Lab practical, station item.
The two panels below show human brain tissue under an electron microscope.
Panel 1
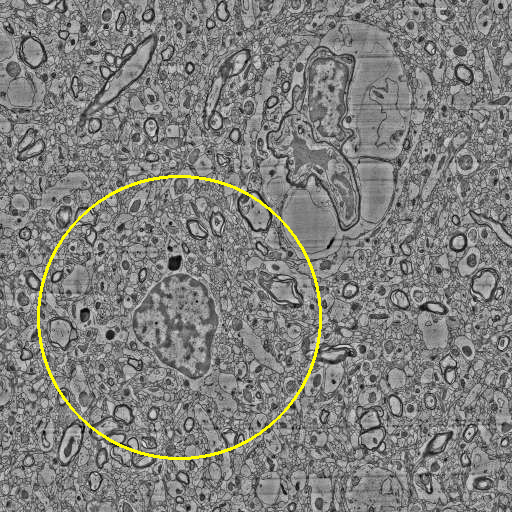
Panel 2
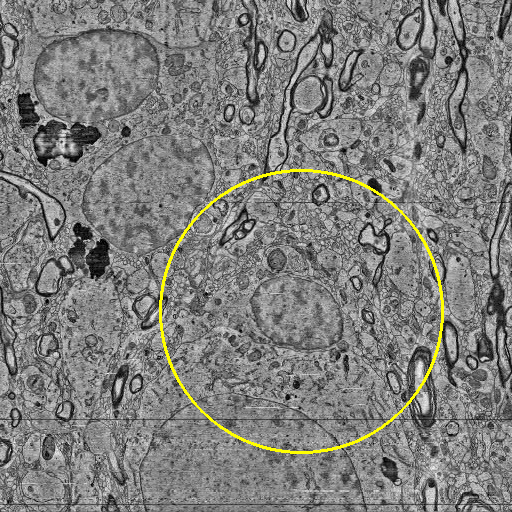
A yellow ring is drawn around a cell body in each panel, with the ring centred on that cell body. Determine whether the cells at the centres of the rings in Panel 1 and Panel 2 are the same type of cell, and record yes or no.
no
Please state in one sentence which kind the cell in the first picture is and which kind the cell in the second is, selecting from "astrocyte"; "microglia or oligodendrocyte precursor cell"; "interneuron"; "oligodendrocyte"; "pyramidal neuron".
The first ringed cell is a microglial cell or oligodendrocyte precursor cell, the second ringed cell an oligodendrocyte.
